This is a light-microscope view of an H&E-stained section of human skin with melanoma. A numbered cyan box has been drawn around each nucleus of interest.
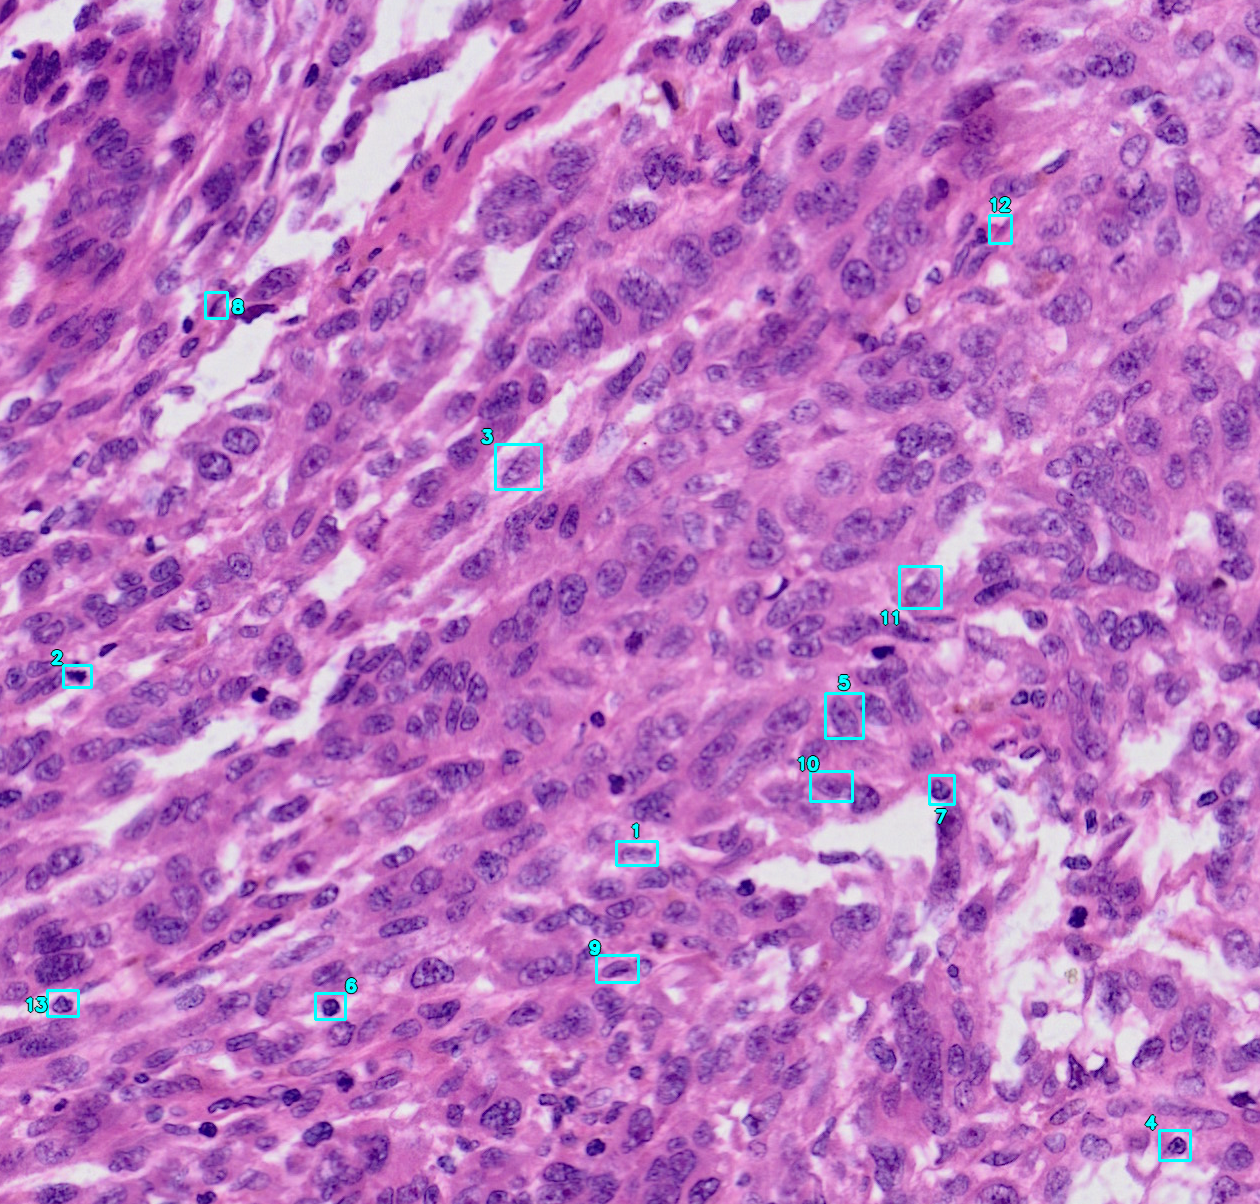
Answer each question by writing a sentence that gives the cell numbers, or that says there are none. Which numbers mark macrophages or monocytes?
The cells tagged with numbers 1, 8 and 9 are macrophages or monocytes.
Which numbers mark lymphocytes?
The cells identified by the numbers 2, 4, 6, 7 and 13 are lymphocytes.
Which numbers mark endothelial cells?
The one cell that is an endothelial cell is cell 12, and no other.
